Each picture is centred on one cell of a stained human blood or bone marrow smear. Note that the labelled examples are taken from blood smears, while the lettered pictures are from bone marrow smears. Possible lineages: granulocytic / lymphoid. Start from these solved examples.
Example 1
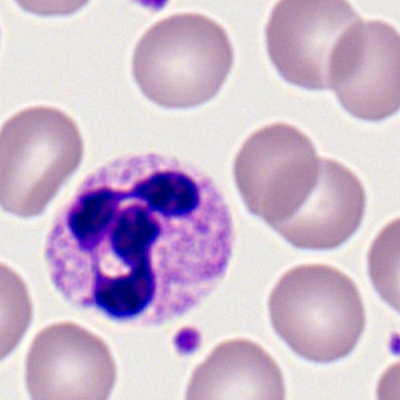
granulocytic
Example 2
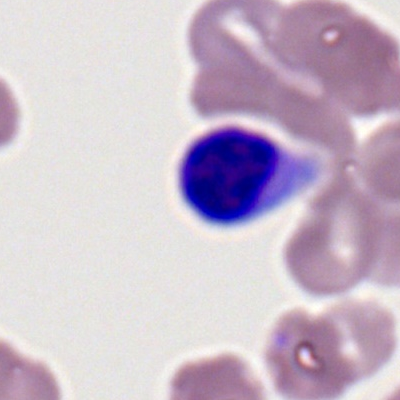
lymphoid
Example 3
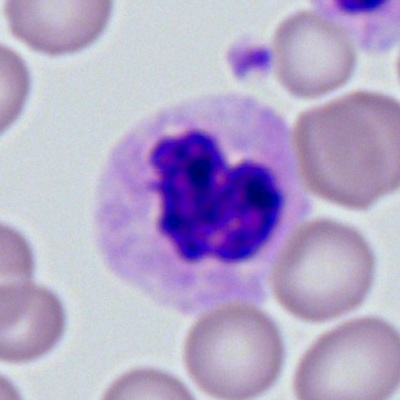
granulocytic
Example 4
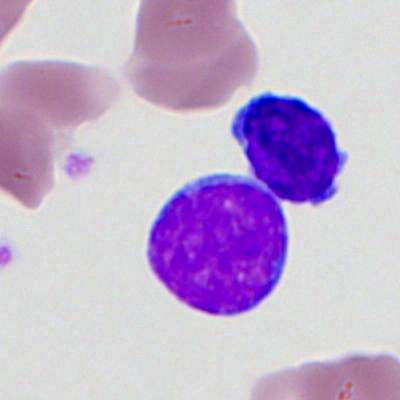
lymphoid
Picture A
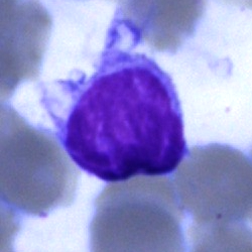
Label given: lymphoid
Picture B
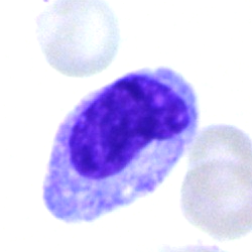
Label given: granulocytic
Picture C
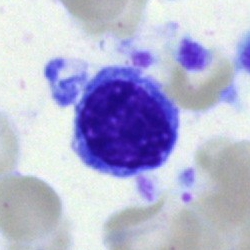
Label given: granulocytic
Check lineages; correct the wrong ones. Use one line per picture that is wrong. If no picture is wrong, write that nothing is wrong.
C: not granulocytic but lymphoid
